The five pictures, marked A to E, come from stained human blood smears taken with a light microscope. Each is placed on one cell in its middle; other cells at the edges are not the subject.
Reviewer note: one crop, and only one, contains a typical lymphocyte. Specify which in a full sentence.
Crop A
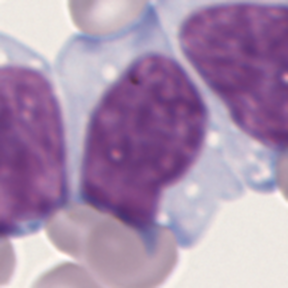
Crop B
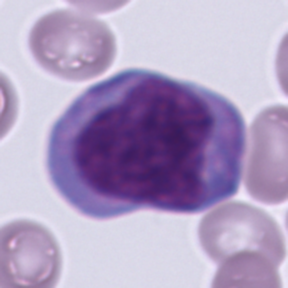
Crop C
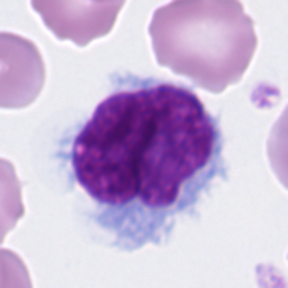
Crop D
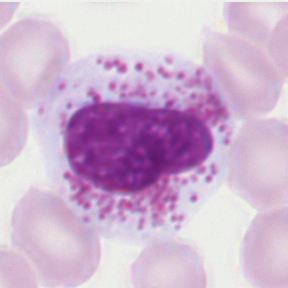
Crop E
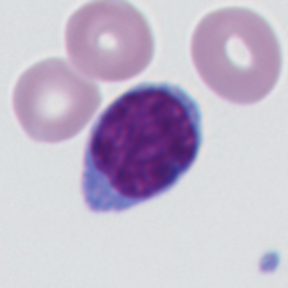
Look at crop E; that is the one with a typical lymphocyte in its center.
